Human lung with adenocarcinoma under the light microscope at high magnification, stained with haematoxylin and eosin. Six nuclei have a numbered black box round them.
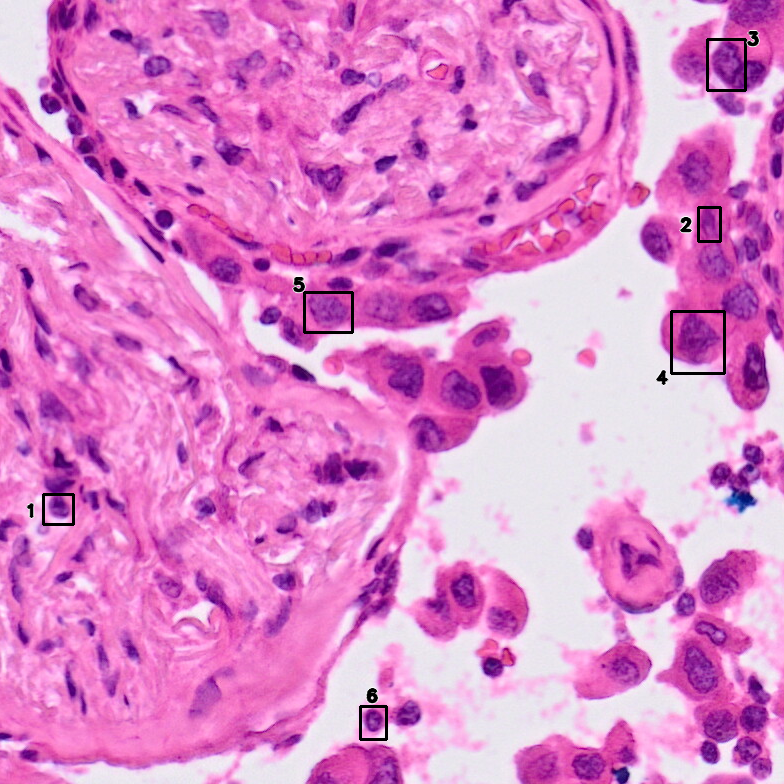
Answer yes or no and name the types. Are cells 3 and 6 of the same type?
No, cell 3 is a carcinoma cell and cell 6 is a lymphocyte.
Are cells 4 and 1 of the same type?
No, cell 4 is a carcinoma cell and cell 1 is a lymphocyte.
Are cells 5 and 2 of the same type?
Yes, both are carcinoma cells.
